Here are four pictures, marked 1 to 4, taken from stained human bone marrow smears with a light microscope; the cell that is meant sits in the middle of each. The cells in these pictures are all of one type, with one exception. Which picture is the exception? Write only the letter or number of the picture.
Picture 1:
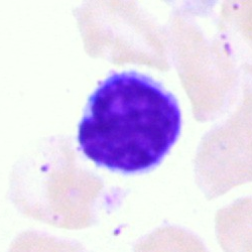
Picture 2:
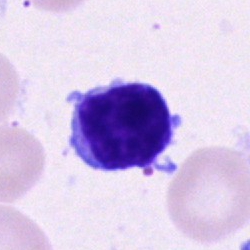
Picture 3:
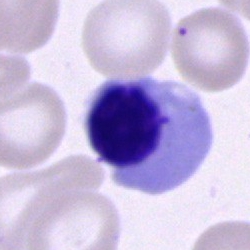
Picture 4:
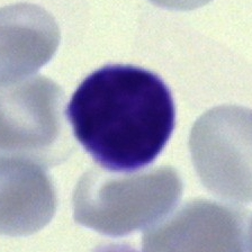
3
